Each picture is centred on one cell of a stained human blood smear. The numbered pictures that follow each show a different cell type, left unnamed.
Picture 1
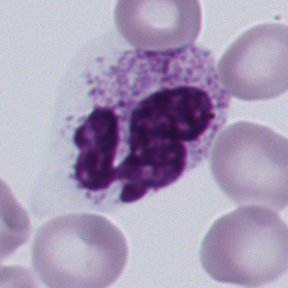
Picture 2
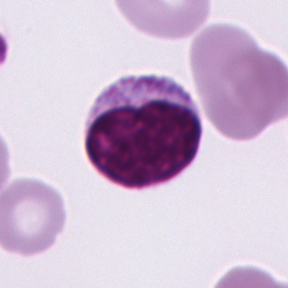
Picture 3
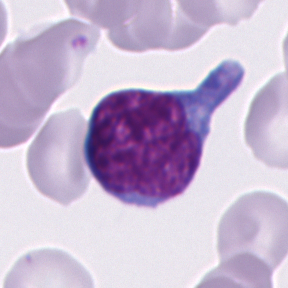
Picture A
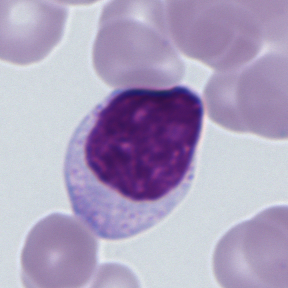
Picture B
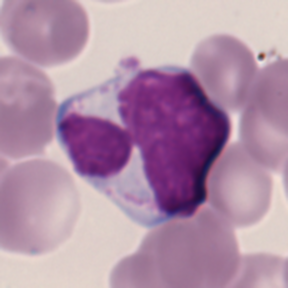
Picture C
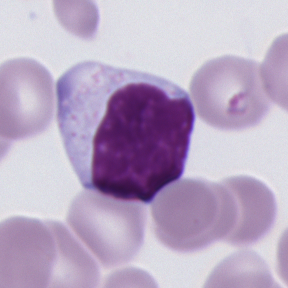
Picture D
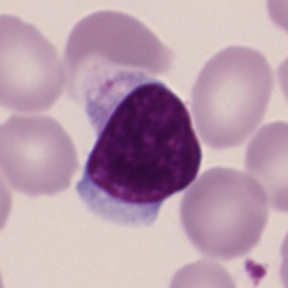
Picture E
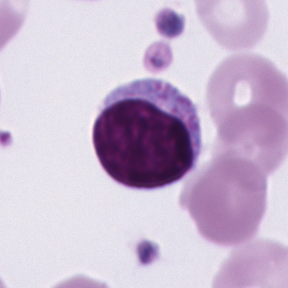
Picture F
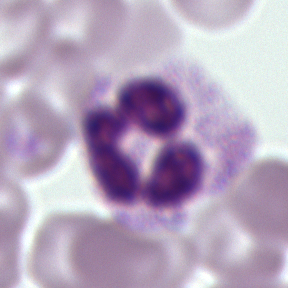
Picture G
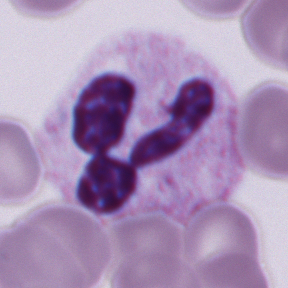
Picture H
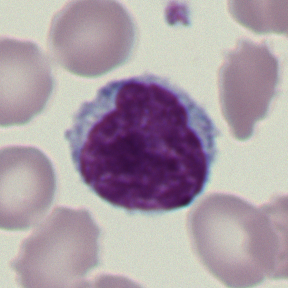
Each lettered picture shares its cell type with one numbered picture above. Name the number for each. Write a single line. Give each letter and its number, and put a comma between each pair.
A 2, B 2, C 2, D 3, E 2, F 1, G 1, H 3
